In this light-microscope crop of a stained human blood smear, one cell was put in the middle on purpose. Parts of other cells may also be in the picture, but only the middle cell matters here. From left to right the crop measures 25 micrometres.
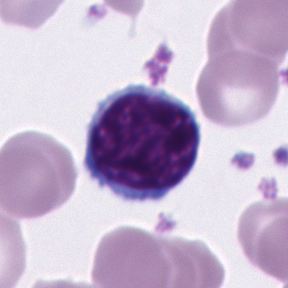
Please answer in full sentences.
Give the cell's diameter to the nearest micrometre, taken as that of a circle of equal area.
About 10 micrometres: that is the cell's diameter.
